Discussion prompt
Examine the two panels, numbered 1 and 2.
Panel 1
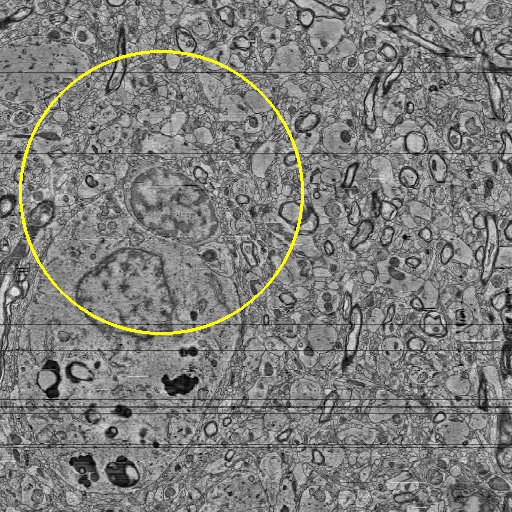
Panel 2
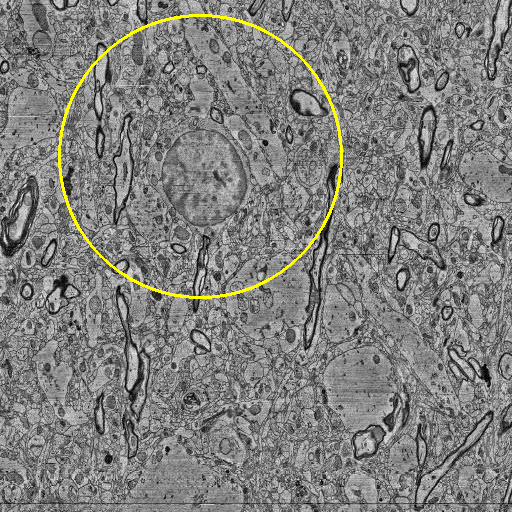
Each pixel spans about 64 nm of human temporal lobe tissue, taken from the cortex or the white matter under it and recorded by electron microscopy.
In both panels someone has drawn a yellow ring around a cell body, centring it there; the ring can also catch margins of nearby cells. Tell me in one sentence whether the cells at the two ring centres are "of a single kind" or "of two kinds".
Taken together, the two cells centred in the rings of Panels 1 and 2 are of a single kind.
